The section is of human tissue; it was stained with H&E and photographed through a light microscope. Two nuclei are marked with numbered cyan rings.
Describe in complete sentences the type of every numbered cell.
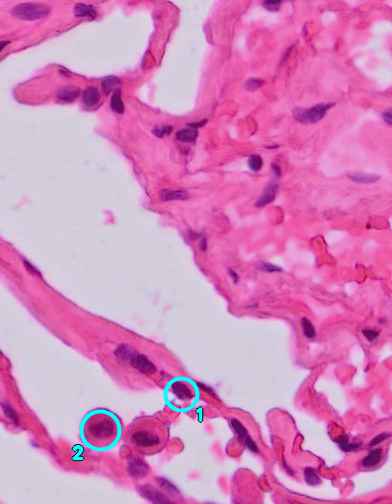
Cell 1 is a type I pneumocyte and cell 2 is a macrophage or monocyte.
